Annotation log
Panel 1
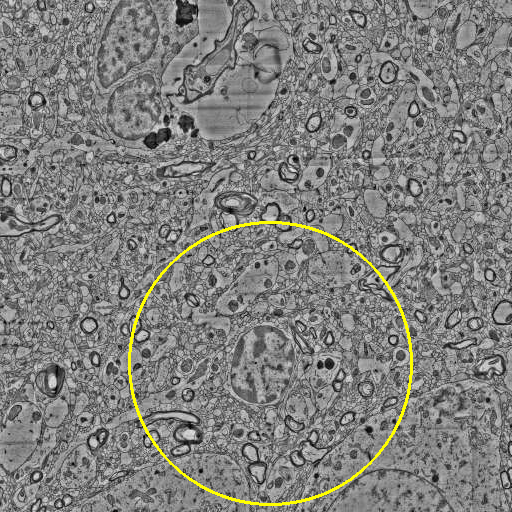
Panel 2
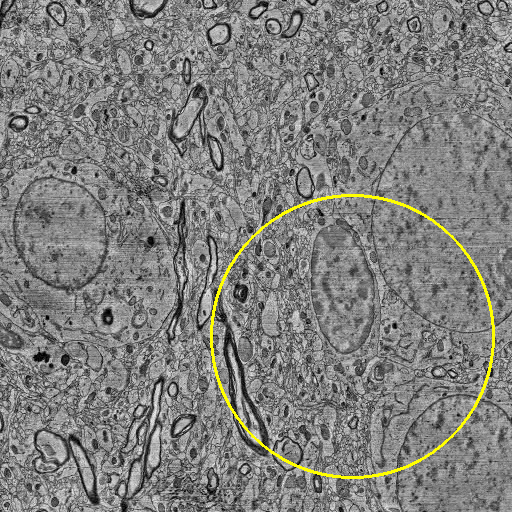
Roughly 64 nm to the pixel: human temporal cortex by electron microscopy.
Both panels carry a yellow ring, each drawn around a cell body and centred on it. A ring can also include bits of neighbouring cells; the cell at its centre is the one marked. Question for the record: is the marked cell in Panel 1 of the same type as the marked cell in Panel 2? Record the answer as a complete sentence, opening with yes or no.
No, the marked cells in Panel 1 and Panel 2 are of two types.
